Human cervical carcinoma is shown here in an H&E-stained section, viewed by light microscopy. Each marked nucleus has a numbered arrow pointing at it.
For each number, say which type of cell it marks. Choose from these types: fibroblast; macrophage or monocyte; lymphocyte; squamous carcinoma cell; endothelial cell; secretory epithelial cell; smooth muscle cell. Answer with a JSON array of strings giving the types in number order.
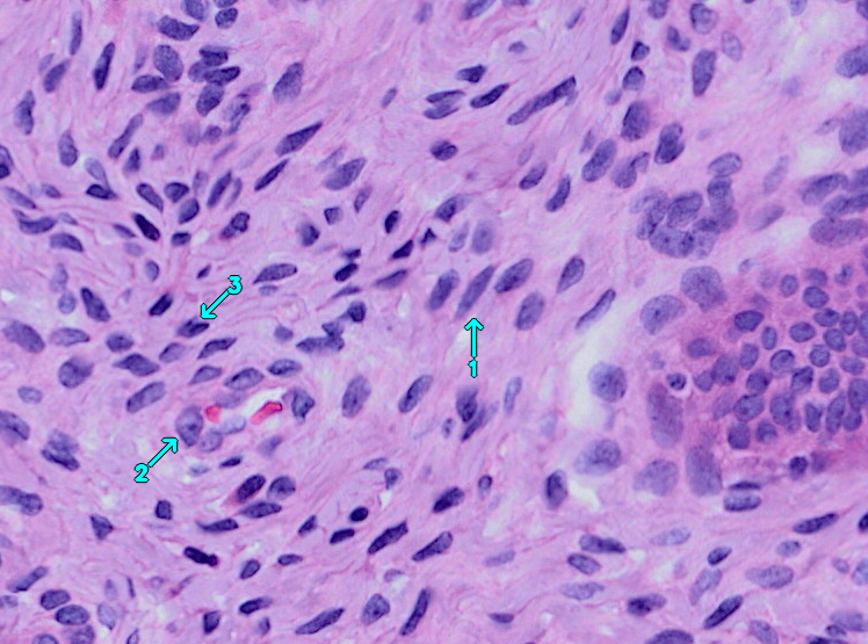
["fibroblast", "endothelial cell", "fibroblast"]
